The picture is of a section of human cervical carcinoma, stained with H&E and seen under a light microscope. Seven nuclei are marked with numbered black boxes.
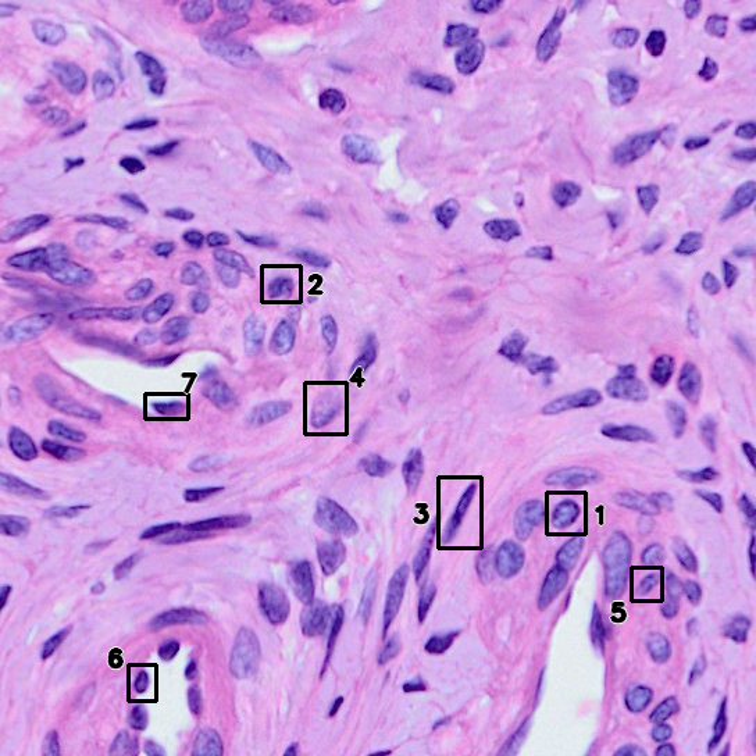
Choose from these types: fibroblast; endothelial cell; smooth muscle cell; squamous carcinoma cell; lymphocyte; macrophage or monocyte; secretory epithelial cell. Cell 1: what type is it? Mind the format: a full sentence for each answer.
The cell marked with number 1 is a smooth muscle cell.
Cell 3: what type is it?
Cell 3 is classified as a fibroblast.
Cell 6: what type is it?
In this section, the cell tagged 6 is an endothelial cell.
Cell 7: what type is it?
The cell marked with the number 7 is an endothelial cell.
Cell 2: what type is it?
The cell identified by the number 2 is a smooth muscle cell.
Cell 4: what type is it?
Recognised here as a smooth muscle cell is the cell numbered 4.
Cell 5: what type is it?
The identity of cell 5 is that of a smooth muscle cell.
